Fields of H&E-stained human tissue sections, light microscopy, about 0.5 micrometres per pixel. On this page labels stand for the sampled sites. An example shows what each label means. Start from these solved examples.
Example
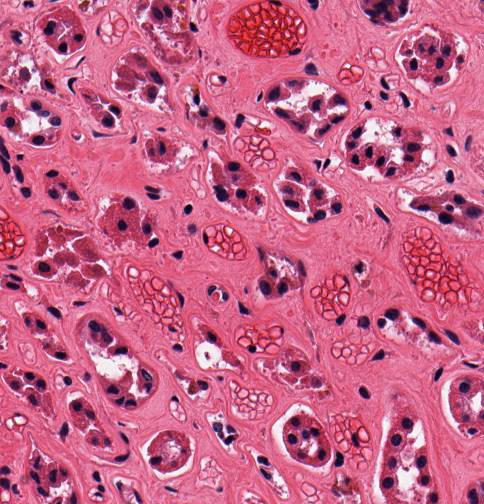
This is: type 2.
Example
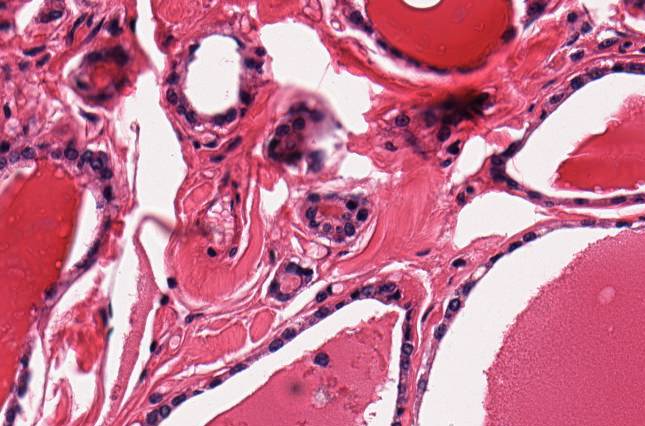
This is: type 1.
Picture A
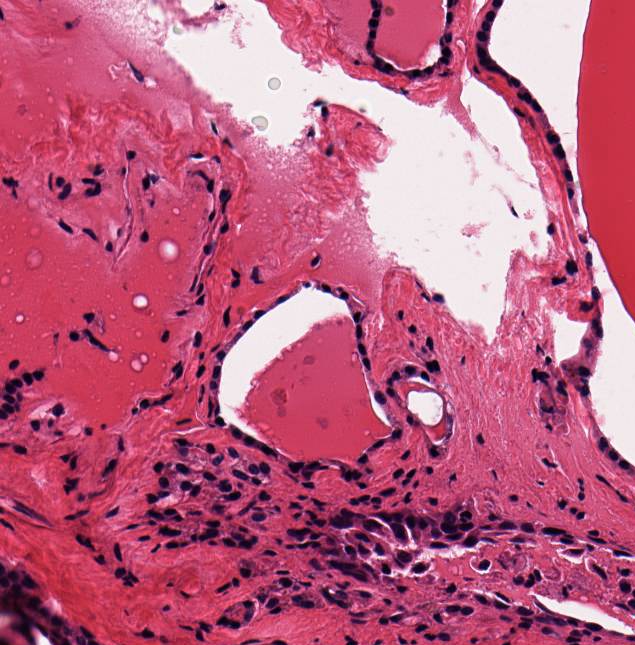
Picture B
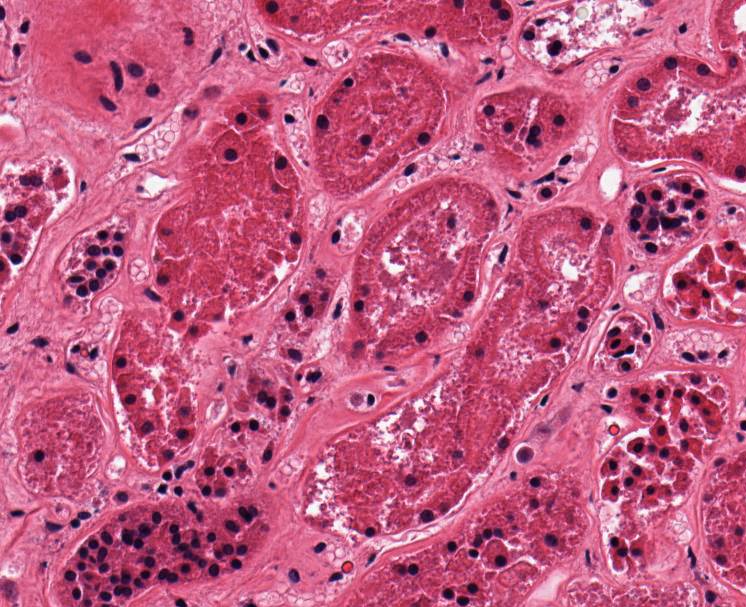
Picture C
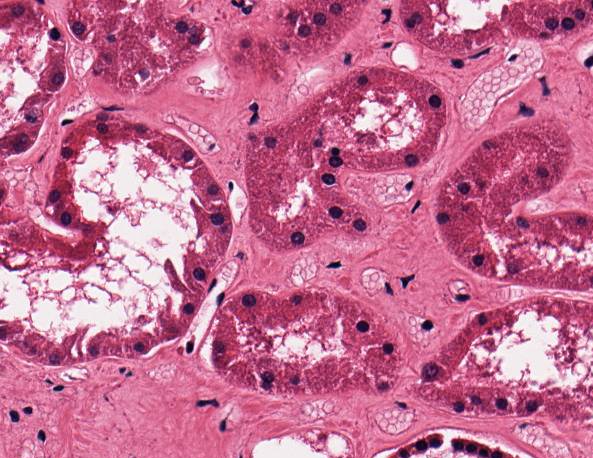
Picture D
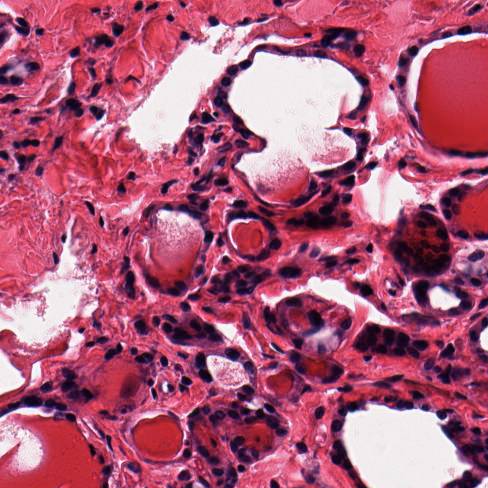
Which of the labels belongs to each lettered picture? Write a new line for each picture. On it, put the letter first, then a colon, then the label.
A: type 1.
B: type 2.
C: type 2.
D: type 1.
